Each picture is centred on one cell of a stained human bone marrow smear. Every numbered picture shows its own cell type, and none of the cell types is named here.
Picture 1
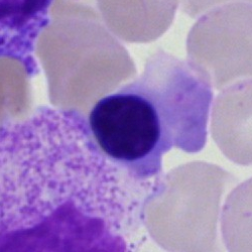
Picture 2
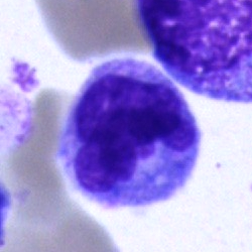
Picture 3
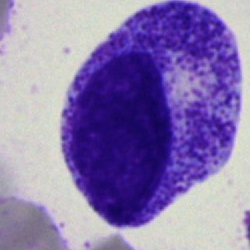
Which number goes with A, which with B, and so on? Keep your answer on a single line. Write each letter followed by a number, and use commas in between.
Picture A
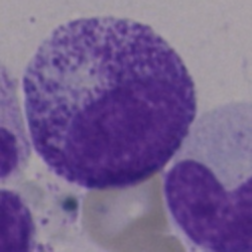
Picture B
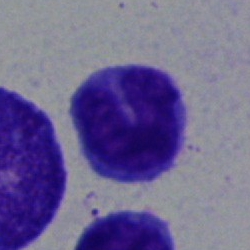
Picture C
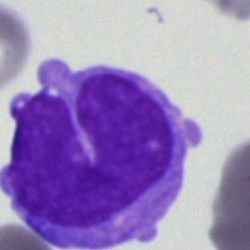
A 3, B 2, C 2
